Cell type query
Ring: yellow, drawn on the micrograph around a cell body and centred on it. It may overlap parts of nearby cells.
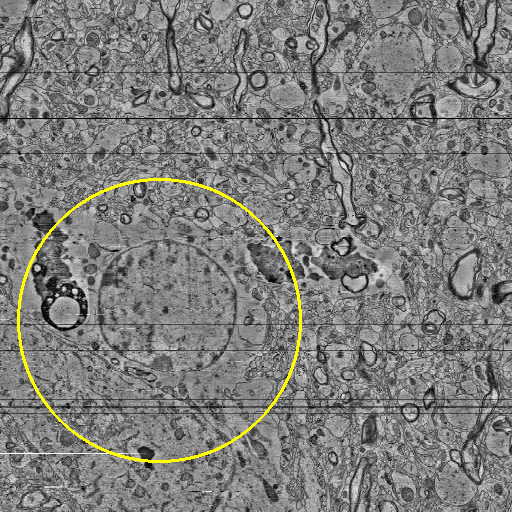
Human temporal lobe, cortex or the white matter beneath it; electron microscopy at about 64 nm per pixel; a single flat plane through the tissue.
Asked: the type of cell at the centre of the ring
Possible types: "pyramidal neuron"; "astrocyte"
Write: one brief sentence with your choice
The ring marks an astrocyte.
